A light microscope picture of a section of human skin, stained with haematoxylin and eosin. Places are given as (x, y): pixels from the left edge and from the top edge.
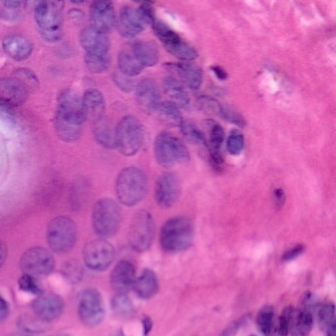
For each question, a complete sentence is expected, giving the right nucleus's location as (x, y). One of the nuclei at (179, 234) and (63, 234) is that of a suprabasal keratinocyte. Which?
In this pair, the nucleus at (63, 234) belongs to a suprabasal keratinocyte.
